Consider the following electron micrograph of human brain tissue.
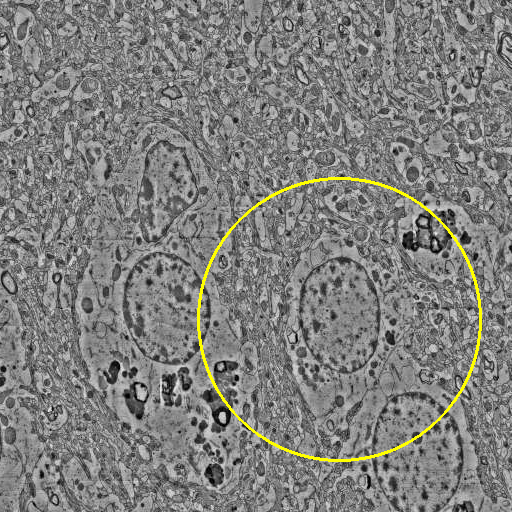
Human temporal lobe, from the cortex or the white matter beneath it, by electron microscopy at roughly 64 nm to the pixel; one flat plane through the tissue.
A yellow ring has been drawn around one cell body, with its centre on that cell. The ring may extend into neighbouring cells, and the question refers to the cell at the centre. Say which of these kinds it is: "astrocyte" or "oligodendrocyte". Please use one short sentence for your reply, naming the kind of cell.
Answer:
The centre of the ring falls on an astrocyte.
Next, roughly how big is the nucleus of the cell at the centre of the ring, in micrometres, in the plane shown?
The ringed cell's nucleus is roughly 8 by 5 micrometres and clearly longer than it is wide in this plane.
